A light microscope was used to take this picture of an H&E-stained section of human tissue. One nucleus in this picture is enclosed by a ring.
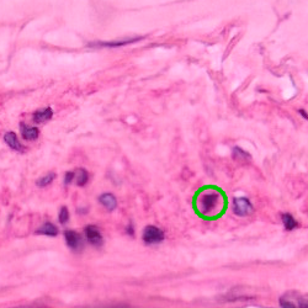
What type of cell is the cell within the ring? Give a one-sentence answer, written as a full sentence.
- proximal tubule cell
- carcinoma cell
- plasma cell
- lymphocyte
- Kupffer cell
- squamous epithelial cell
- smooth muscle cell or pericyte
In this section of tissue, the cell within the ring is a smooth muscle cell or pericyte.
